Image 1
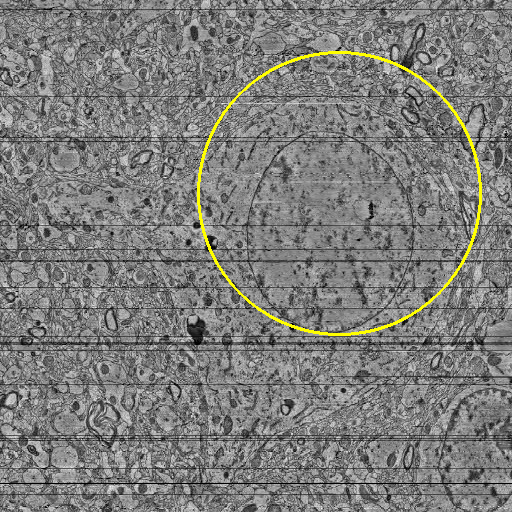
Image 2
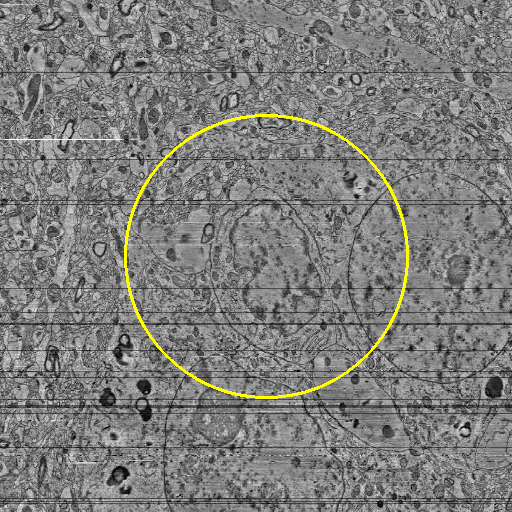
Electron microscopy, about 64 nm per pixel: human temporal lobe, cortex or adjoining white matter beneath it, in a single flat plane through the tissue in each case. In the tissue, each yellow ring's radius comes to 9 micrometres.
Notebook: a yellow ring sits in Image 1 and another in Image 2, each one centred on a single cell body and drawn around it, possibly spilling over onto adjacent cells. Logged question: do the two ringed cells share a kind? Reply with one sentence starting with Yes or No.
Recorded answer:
No, the centre cells inside the rings of Image 1 and Image 2 are of two kinds.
